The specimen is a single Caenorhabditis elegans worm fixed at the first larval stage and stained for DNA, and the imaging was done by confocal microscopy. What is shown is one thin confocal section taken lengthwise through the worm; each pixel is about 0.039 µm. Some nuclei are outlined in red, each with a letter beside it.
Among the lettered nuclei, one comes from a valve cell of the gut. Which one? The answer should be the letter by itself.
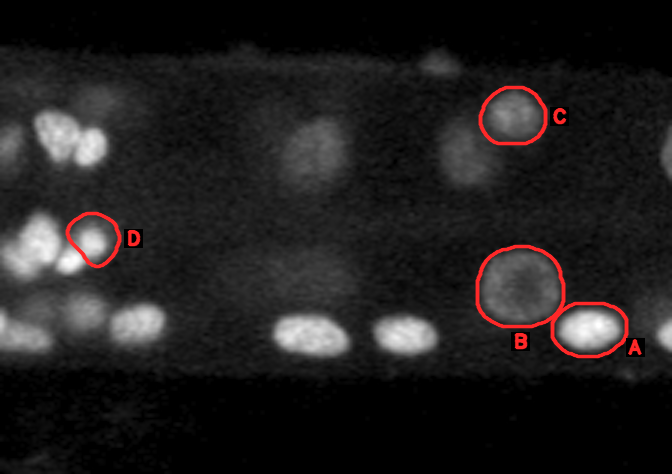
D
